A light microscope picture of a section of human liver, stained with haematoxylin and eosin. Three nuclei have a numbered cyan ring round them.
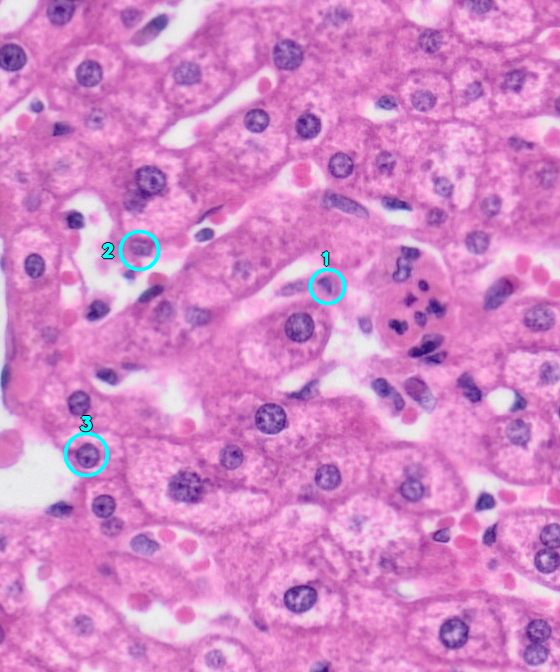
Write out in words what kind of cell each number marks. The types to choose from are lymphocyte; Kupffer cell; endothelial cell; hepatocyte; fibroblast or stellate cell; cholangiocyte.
Cell 1 is a Kupffer cell, cell 2 is a Kupffer cell and cell 3 is a hepatocyte.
